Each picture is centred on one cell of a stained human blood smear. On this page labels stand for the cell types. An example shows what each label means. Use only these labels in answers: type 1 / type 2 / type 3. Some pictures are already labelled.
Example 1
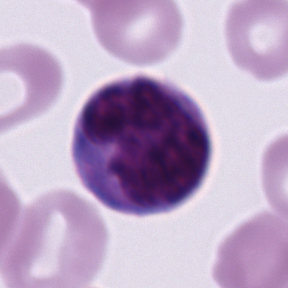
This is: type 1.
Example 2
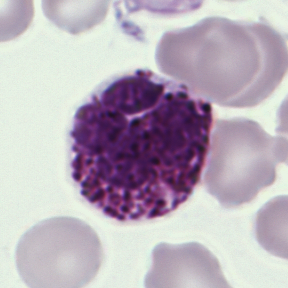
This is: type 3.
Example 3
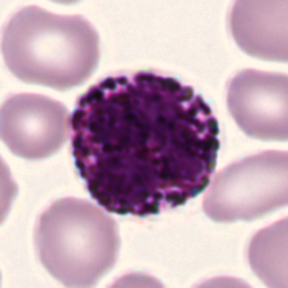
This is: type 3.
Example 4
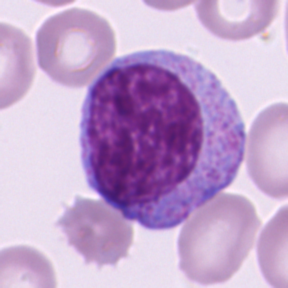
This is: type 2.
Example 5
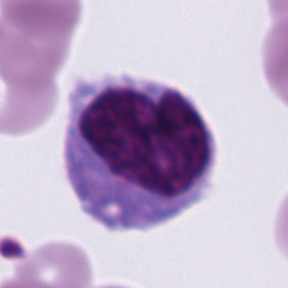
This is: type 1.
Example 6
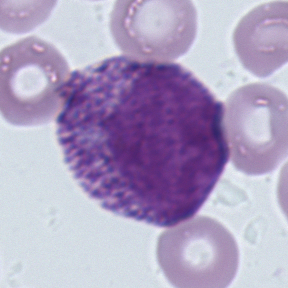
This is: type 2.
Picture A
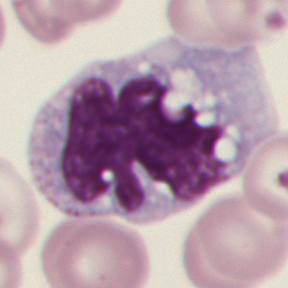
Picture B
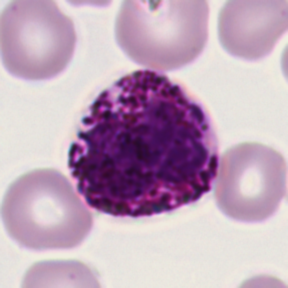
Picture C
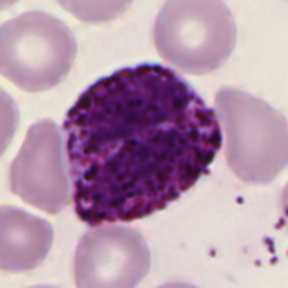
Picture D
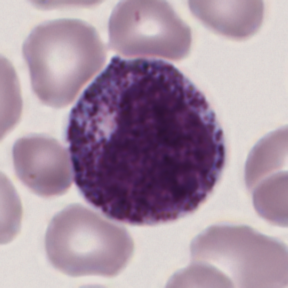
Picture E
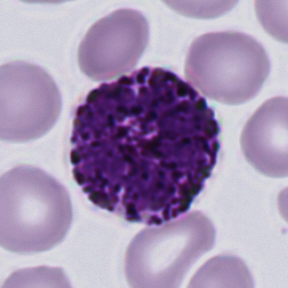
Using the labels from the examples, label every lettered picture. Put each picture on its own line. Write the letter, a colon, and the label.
A: type 1.
B: type 3.
C: type 3.
D: type 2.
E: type 3.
